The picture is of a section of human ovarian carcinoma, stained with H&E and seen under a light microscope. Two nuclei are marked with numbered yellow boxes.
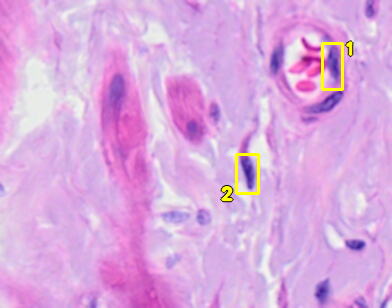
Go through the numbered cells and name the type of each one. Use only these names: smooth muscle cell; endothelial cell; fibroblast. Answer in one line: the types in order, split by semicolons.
endothelial cell; fibroblast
